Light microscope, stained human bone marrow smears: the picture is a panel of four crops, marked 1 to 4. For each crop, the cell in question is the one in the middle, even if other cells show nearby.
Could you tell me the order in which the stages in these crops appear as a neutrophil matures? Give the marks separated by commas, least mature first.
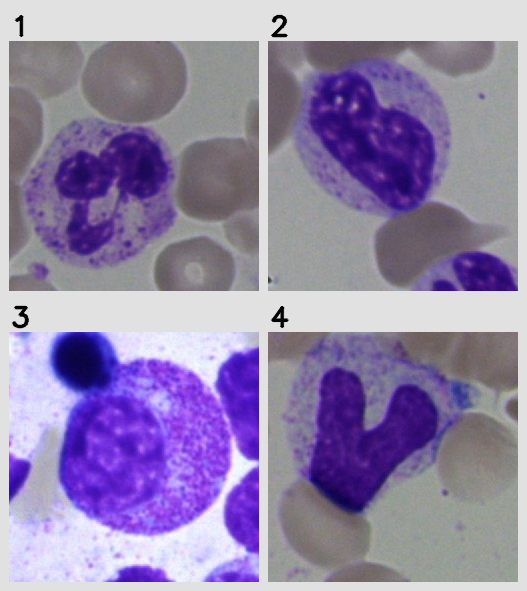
3, 2, 4, 1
